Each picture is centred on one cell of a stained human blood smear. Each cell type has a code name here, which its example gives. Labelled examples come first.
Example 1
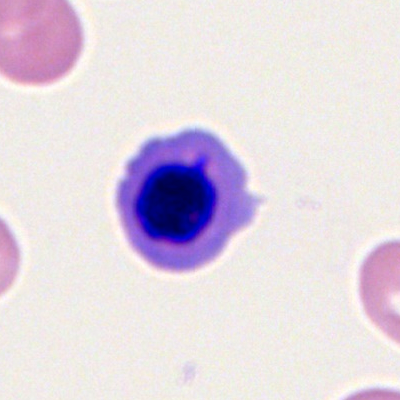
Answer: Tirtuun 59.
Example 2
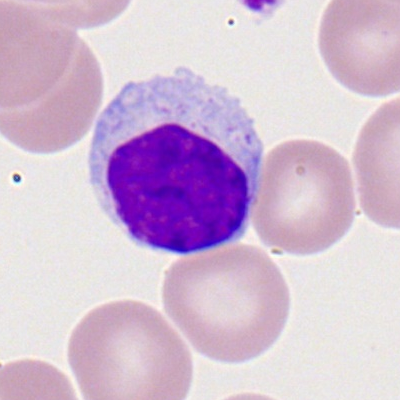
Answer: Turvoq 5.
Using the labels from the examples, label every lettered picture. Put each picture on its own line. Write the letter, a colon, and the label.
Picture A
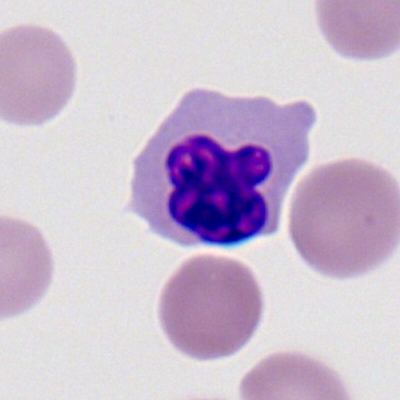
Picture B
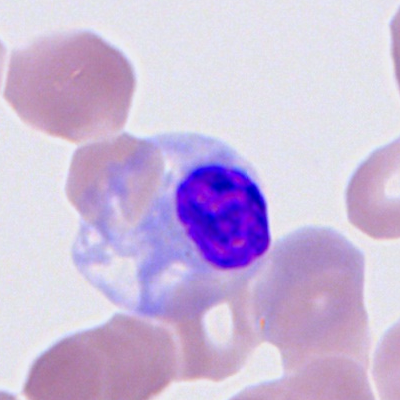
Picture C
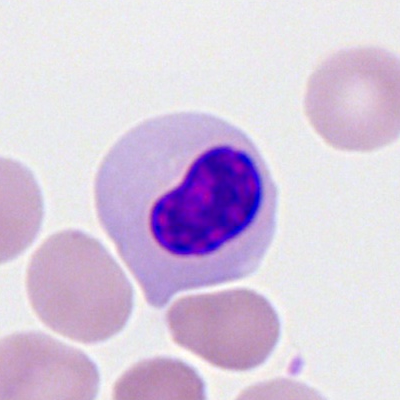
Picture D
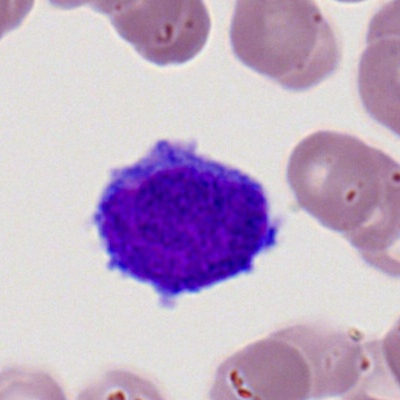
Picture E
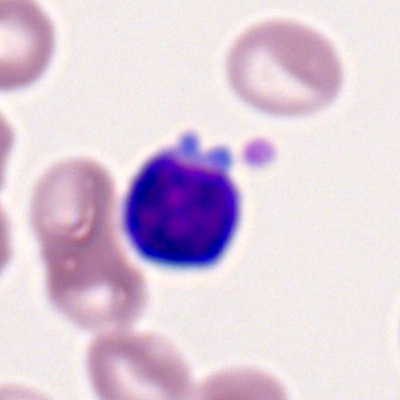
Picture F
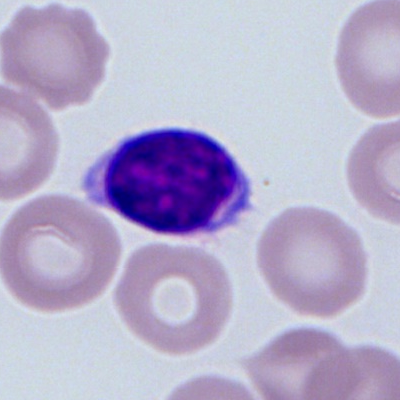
A: Tirtuun 59.
B: Tirtuun 59.
C: Tirtuun 59.
D: Turvoq 5.
E: Turvoq 5.
F: Turvoq 5.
